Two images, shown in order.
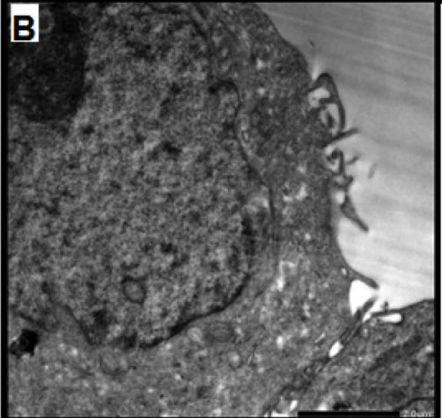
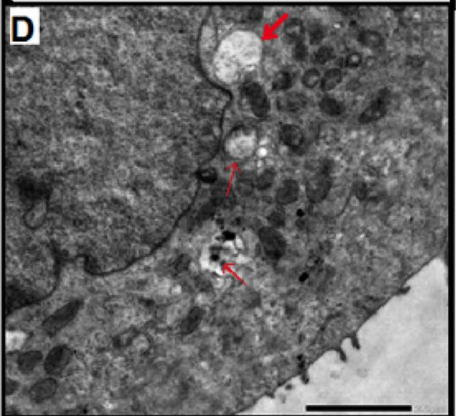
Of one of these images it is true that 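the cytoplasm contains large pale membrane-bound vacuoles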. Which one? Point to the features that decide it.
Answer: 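Second image: several large rounded pale vacuoles lie in the cytoplasm beside the nucleus. First image: the cytoplasm is uniformly granular without large pale vacuoles.
Hence: the second image.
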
